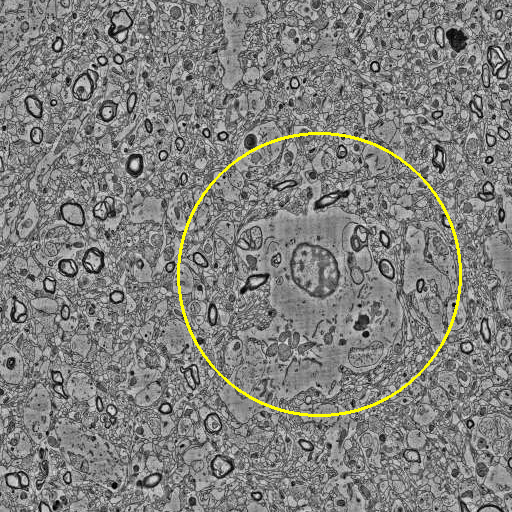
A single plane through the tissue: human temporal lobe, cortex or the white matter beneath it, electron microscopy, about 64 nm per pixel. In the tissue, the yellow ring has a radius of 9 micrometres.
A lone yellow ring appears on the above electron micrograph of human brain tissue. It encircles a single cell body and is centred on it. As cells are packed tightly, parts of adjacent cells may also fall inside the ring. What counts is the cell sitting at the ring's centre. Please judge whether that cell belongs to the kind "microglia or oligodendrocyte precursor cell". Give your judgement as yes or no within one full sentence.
No, the cell lying at the centre of the ring in the picture belongs to another kind.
